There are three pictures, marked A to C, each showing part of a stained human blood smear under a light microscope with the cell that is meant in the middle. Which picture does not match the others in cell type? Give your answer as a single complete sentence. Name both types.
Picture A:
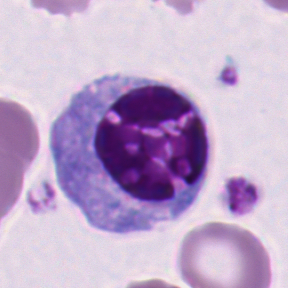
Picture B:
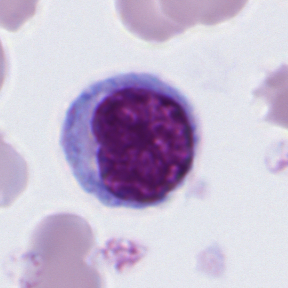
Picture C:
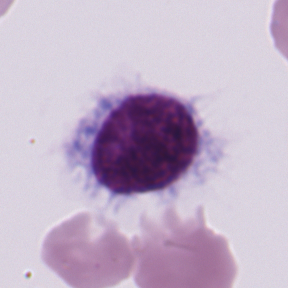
Picture C is the odd one out: it shows a hairy cell, while the others show plasma cells.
